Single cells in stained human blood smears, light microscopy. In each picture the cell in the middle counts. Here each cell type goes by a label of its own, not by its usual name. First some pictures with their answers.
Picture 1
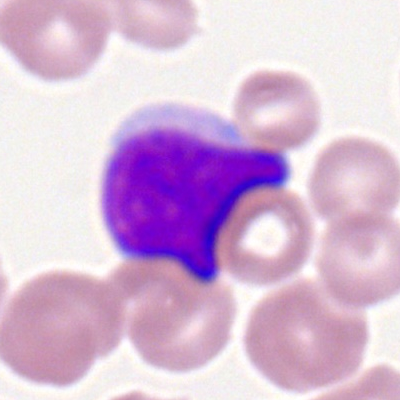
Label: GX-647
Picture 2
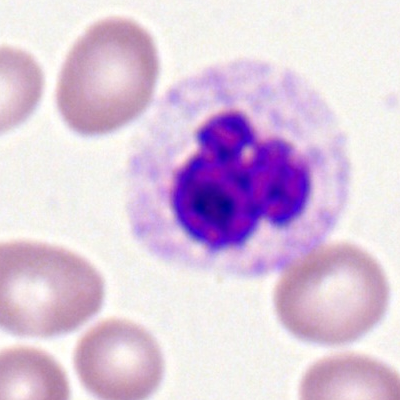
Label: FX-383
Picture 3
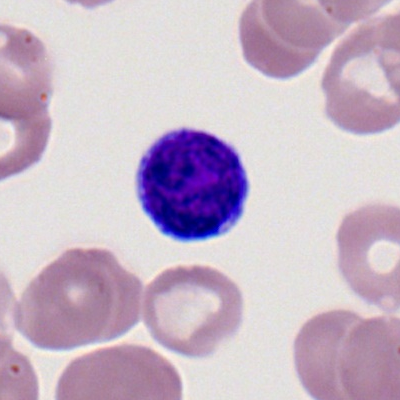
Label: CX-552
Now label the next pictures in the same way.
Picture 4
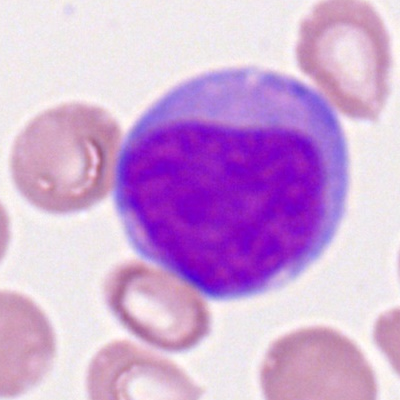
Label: GX-647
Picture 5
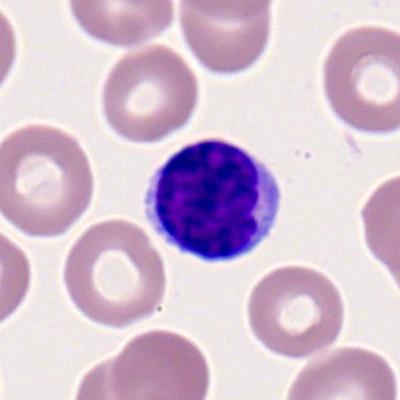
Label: CX-552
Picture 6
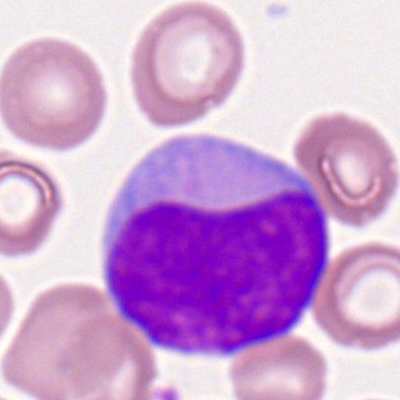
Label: GX-647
